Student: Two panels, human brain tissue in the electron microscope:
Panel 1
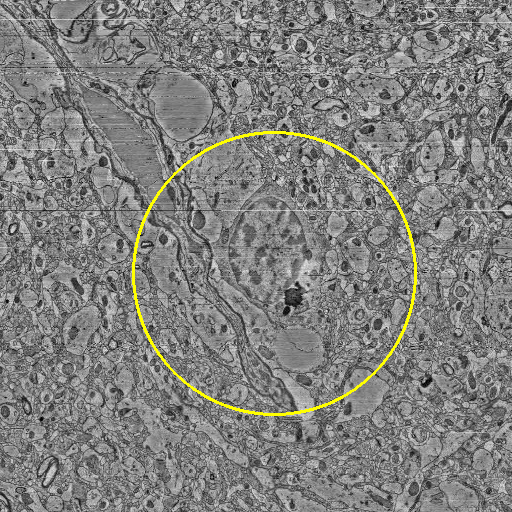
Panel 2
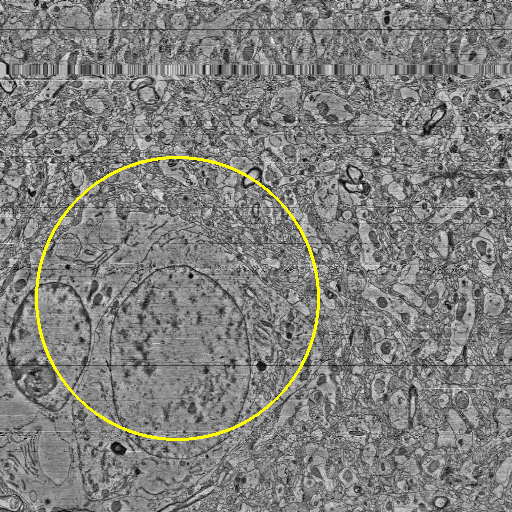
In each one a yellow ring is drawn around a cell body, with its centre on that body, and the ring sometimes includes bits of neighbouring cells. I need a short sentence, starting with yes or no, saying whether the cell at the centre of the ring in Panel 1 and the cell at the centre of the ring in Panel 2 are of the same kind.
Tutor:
No, they are two kinds of cell.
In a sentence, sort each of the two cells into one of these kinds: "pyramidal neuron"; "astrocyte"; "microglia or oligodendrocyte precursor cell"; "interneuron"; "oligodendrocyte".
The first of the two cells is an oligodendrocyte, and the second is a pyramidal neuron.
